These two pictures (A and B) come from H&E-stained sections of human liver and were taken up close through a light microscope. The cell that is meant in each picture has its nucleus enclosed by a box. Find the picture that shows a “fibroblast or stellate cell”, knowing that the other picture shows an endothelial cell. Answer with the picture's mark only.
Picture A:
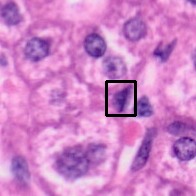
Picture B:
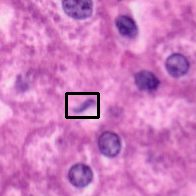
A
